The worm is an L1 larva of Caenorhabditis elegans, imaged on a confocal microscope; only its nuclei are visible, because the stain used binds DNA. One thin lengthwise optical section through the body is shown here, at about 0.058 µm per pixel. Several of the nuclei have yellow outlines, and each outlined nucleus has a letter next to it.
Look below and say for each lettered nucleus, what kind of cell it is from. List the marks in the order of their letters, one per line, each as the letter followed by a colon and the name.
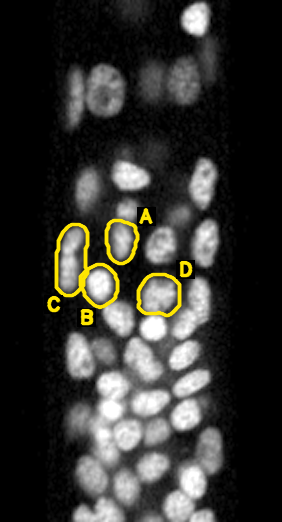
A: pharyngeal marginal cell
B: neuron
C: body wall muscle cell
D: pharyngeal muscle cell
